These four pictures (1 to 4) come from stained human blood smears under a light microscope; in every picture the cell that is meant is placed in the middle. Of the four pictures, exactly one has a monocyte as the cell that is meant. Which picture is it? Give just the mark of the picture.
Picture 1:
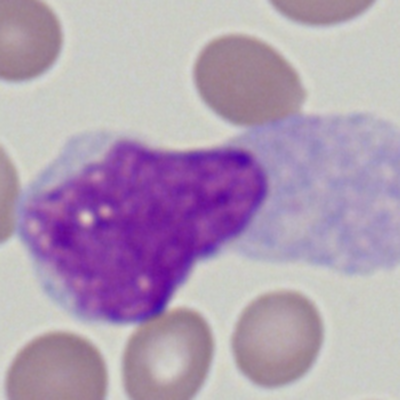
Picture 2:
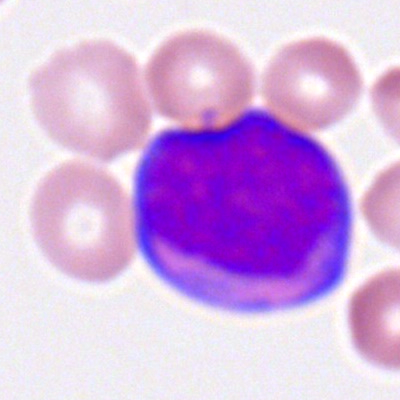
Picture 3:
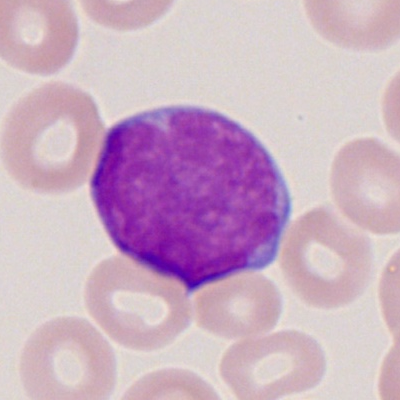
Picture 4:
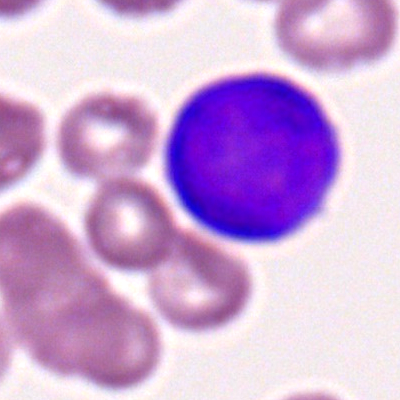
1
